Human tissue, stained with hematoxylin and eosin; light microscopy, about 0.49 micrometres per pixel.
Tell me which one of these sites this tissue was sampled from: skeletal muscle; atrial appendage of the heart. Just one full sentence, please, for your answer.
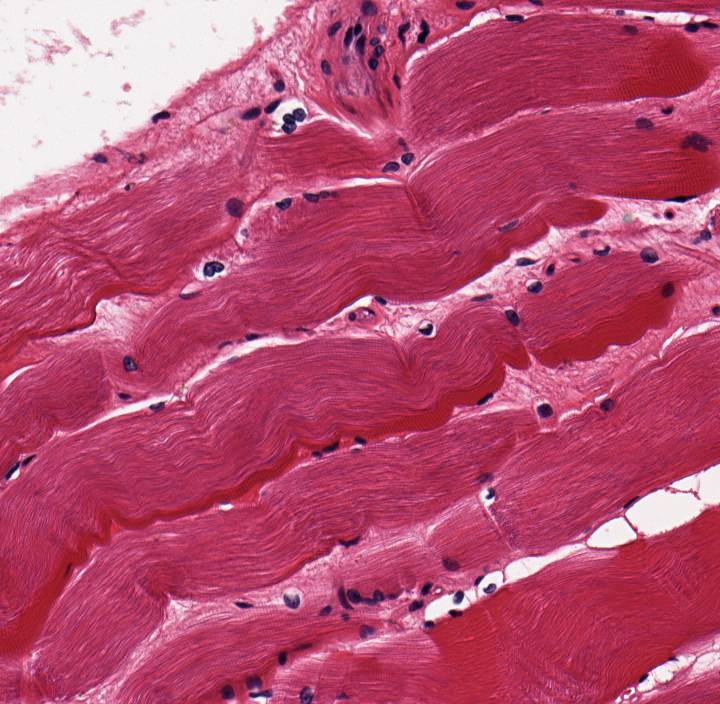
This tissue was sampled from the skeletal muscle.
